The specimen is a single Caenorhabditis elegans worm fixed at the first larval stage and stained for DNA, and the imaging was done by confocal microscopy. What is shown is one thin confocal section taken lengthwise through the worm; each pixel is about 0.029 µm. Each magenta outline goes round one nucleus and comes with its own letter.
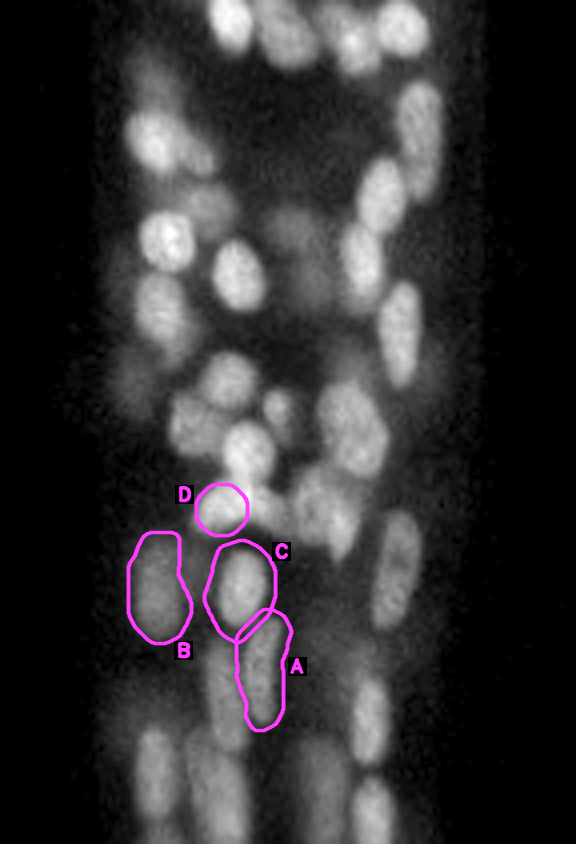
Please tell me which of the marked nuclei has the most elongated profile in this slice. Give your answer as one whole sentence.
The most elongated nucleus is A.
